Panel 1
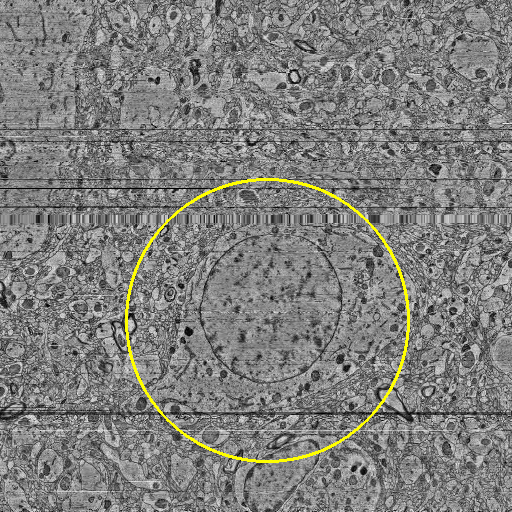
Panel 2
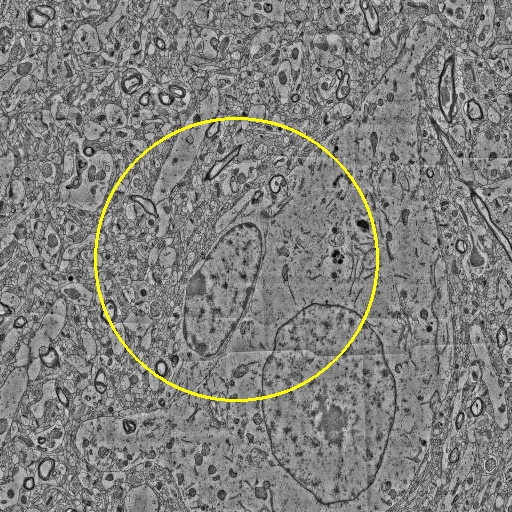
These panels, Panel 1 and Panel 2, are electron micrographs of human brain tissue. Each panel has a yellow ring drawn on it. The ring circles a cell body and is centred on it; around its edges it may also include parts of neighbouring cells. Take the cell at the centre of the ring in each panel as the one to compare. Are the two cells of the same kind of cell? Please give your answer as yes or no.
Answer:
no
